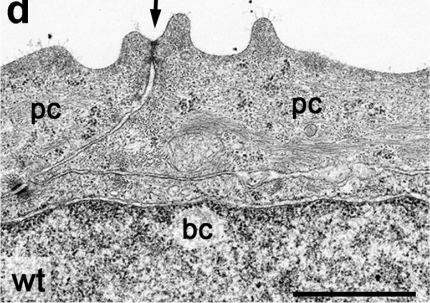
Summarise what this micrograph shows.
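This electron micrograph shows the two-layered epidermis, with flattened peridermal cells at the surface and a basal cell beneath. The outer surface of the peridermal cells bears small rounded projections, and two neighbouring peridermal cells meet along a narrow lateral contact that ends apically in a dense junction. The peridermal cytoplasm is finely granular, while the basal cell below contains a large nucleus with granular chromatin. The upper and lower layers lie closely against each other, separated only by thin membranes.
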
